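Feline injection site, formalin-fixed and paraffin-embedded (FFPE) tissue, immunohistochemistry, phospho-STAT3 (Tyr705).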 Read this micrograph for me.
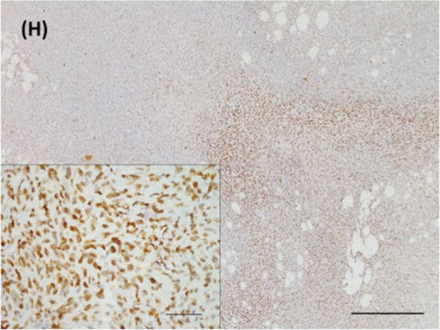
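Sarcoma of plump spindle to ovoid tumour cells with brown-stained nuclei in most cells. In the inset the brown stain lies over the nuclei, which vary in size and shape, while the cytoplasm stays pale. At low magnification stained cells form a dense band, and round empty spaces resembling fat cells are scattered through the tissue at the right.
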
